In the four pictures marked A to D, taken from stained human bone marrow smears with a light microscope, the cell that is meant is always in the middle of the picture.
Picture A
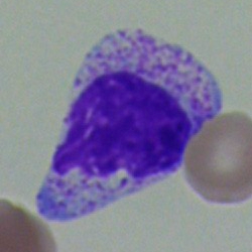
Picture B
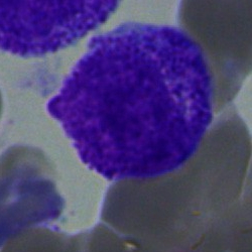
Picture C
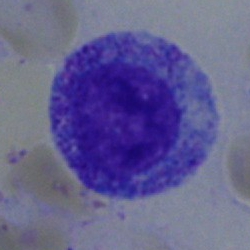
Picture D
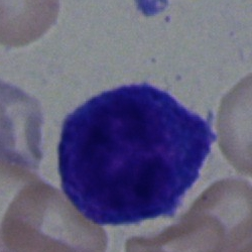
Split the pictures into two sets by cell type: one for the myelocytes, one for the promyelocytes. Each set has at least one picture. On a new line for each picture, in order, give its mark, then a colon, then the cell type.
A: myelocyte
B: myelocyte
C: myelocyte
D: promyelocyte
